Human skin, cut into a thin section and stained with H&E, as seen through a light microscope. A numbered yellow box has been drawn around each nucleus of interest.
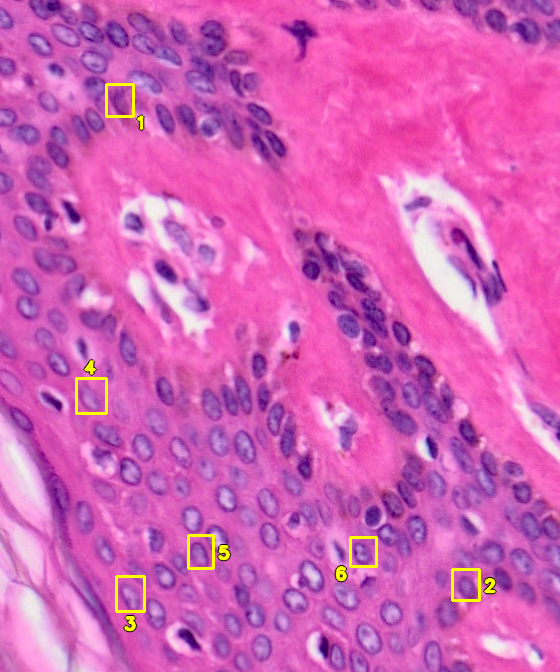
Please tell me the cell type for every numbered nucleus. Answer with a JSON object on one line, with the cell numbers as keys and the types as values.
{"1": "basal keratinocyte", "2": "basal keratinocyte", "3": "suprabasal keratinocyte", "4": "suprabasal keratinocyte", "5": "suprabasal keratinocyte", "6": "suprabasal keratinocyte"}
